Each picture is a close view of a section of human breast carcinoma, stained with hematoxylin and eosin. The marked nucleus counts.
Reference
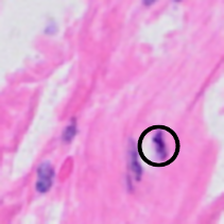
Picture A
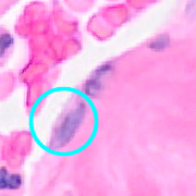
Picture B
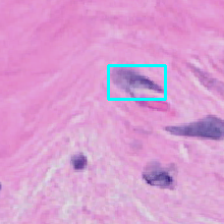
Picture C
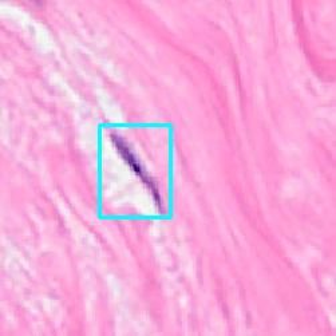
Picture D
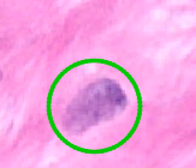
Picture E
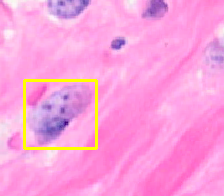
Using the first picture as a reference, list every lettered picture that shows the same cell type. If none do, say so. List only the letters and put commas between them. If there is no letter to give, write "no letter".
A, B, E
